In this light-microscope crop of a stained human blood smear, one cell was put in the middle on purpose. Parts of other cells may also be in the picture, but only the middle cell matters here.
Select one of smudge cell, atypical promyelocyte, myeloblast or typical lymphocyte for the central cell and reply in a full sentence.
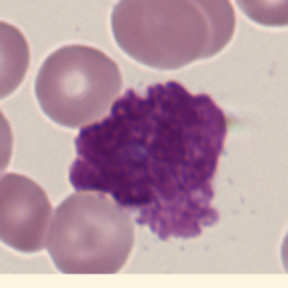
Present in the middle of the crop is a smudge cell.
